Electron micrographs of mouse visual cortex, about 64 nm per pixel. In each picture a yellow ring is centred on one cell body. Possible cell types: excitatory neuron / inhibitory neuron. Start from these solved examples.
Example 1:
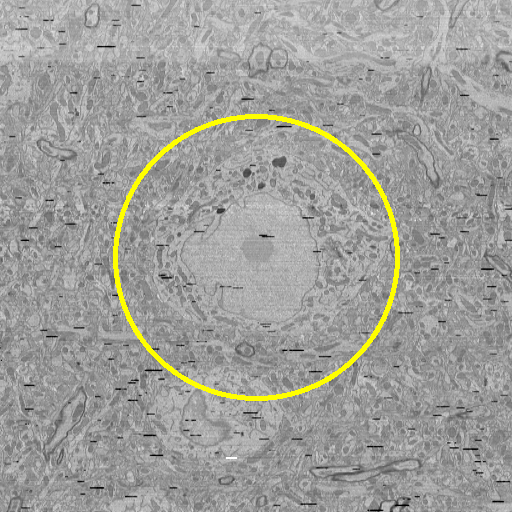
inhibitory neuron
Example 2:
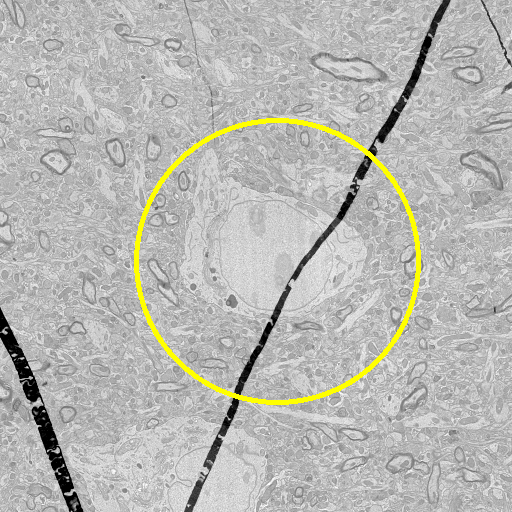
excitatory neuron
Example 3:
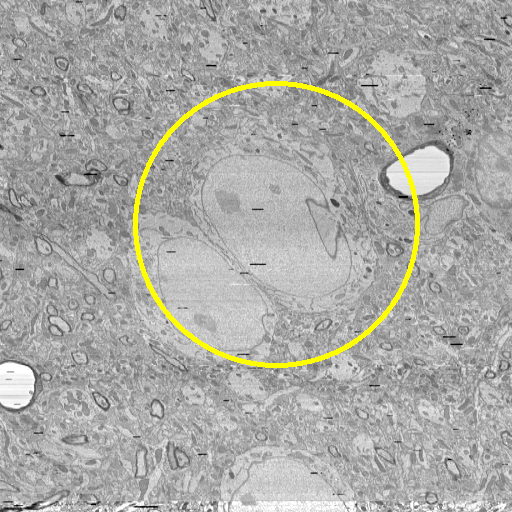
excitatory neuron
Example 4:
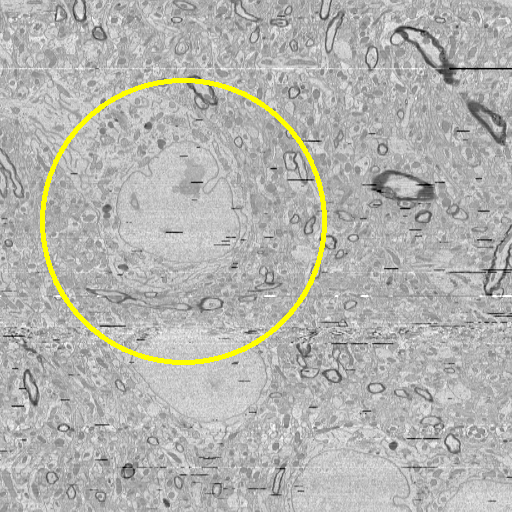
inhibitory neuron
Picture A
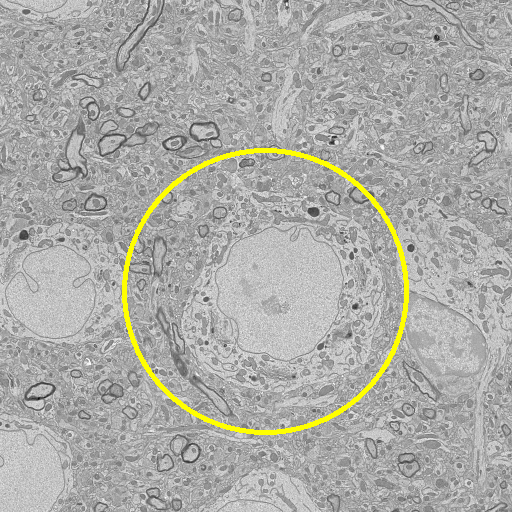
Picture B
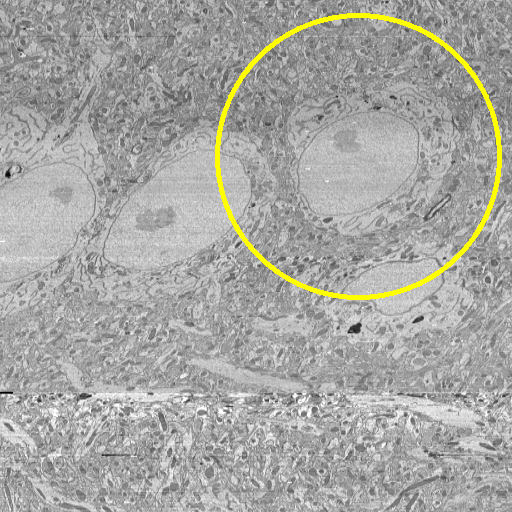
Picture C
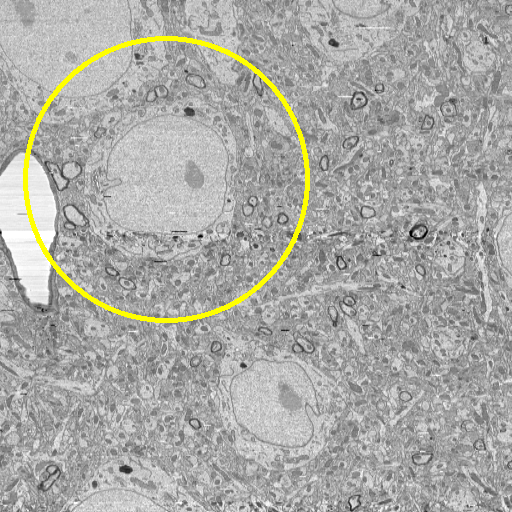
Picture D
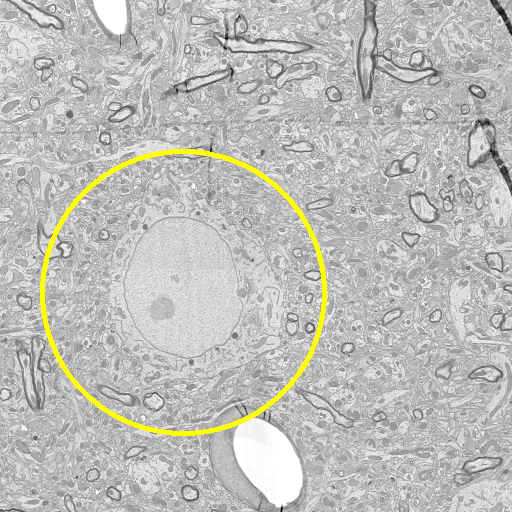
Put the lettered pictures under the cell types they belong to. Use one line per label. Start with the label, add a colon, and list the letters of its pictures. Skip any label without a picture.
excitatory neuron: B, C, D
inhibitory neuron: A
